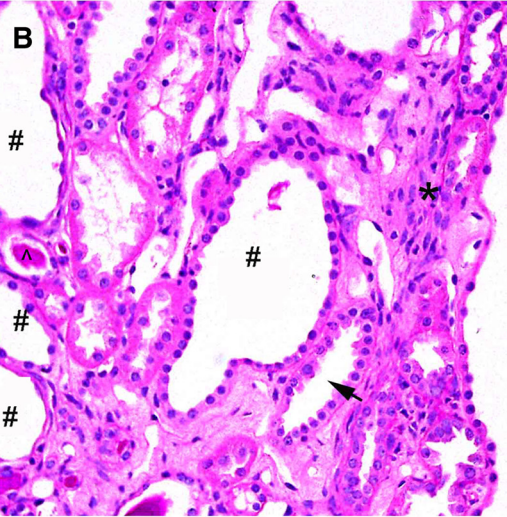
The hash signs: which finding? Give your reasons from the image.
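Cysts. The hash signs lie in large, empty, round spaces far wider than the neighbouring tubules. These spaces are lined by a single thin layer of flattened to cuboidal epithelium.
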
